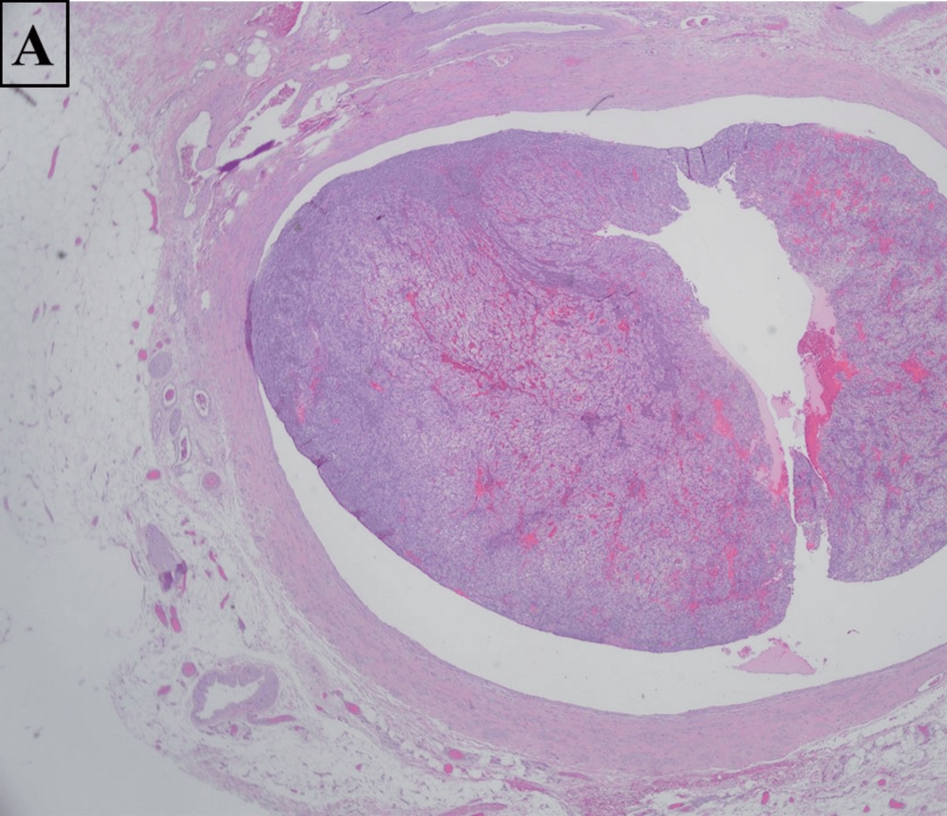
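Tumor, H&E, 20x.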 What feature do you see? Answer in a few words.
Within a large vein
